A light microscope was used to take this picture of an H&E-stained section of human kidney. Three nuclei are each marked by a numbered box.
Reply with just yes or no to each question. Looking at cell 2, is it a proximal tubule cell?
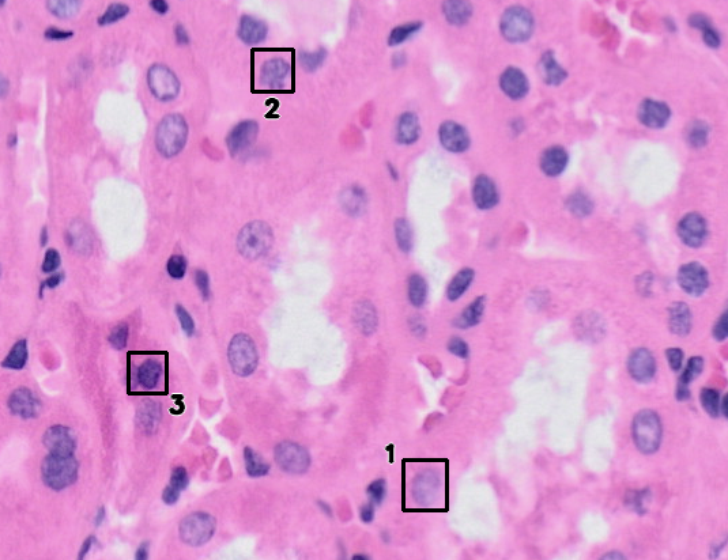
no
